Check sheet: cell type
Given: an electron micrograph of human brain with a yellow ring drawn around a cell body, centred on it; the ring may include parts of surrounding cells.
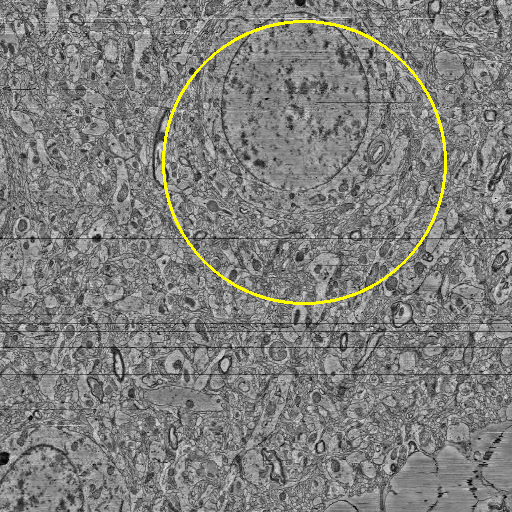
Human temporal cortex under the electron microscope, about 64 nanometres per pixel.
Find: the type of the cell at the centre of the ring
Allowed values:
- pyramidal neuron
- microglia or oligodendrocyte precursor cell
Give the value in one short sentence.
Here the ringed cell is a pyramidal neuron.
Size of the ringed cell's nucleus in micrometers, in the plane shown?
In this plane, the nucleus of the cell at the centre of the ring measures about 12 by 9 micrometres.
